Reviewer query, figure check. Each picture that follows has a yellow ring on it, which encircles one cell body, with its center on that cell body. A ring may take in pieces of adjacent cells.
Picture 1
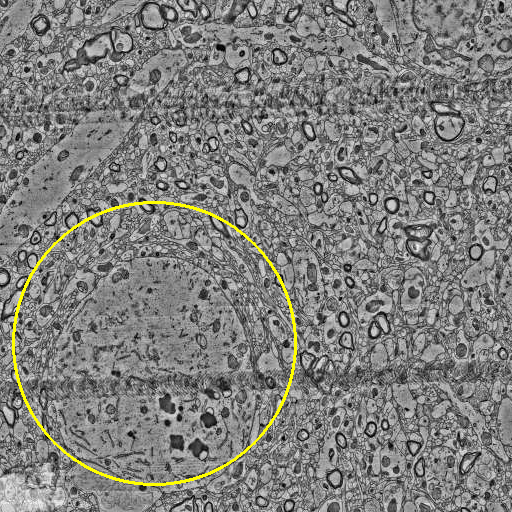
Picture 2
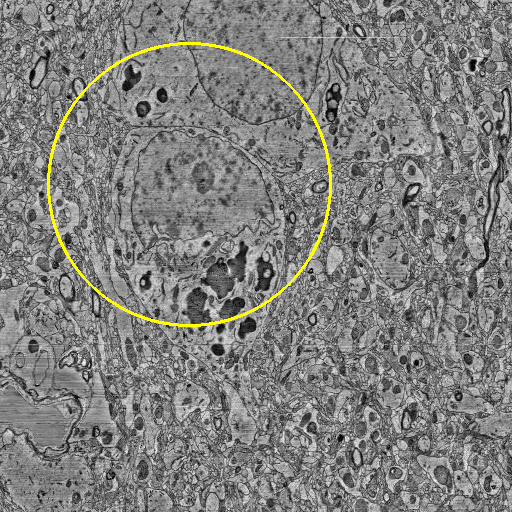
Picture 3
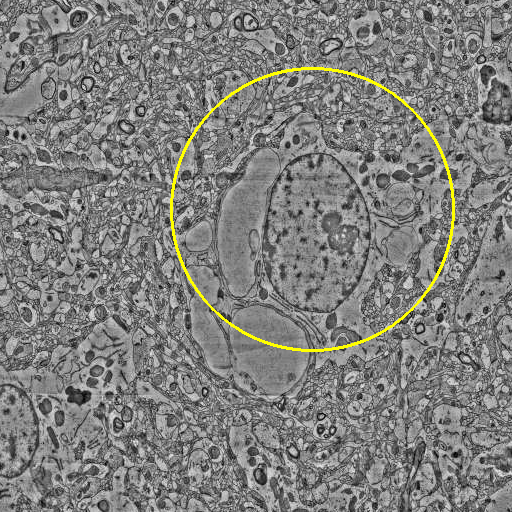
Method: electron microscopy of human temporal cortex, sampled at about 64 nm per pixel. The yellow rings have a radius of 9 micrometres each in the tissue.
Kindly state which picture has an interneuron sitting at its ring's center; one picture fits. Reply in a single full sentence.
In picture 2, the cell at the center of the ring is the requested one.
